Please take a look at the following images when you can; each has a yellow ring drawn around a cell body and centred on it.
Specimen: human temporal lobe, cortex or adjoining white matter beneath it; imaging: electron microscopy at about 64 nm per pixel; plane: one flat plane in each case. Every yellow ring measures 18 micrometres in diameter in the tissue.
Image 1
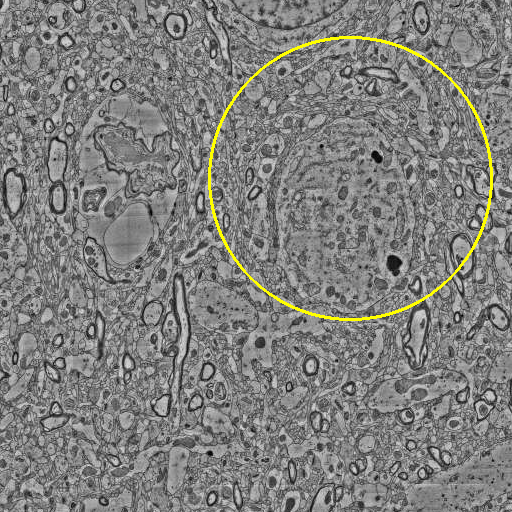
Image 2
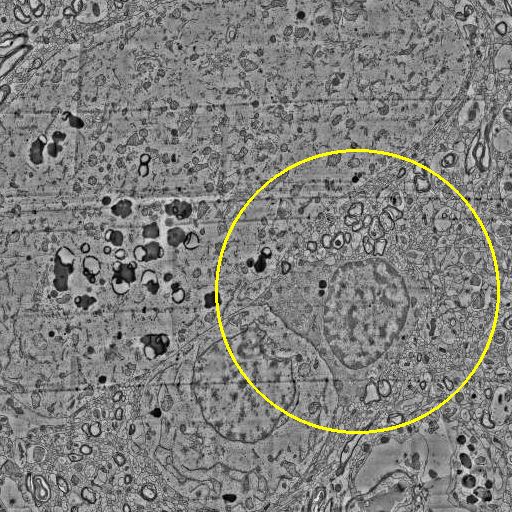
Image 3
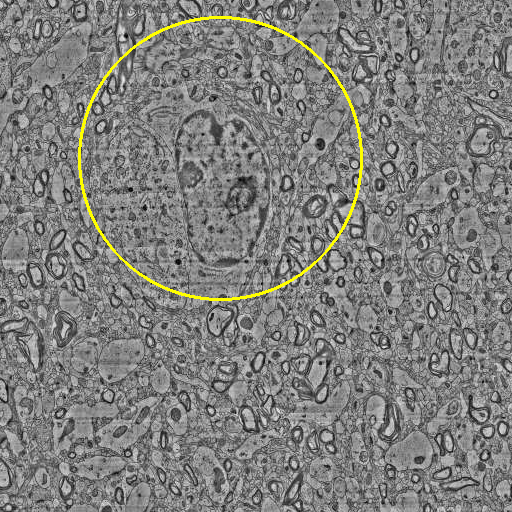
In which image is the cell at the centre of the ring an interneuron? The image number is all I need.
1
